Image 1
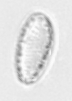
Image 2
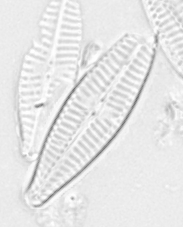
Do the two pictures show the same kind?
No: Nitzschia, then Navicula.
